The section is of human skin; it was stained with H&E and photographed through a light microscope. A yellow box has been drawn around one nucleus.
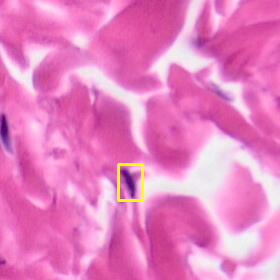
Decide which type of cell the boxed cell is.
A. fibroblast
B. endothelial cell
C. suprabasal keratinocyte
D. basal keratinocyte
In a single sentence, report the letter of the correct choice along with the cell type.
Given that the boxed cell is a fibroblast, option A is the correct one.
